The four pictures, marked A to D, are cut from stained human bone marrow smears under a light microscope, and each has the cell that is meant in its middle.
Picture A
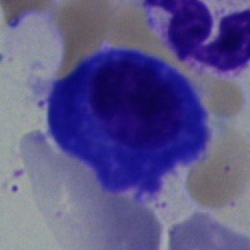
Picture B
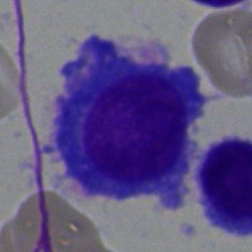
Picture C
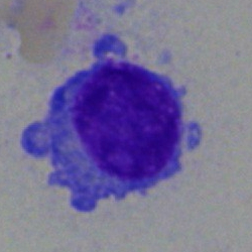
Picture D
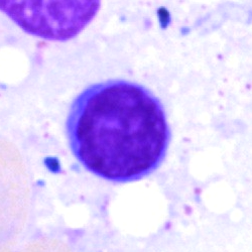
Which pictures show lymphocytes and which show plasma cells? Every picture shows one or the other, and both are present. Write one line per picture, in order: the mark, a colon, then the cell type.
A: plasma cell
B: plasma cell
C: plasma cell
D: lymphocyte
